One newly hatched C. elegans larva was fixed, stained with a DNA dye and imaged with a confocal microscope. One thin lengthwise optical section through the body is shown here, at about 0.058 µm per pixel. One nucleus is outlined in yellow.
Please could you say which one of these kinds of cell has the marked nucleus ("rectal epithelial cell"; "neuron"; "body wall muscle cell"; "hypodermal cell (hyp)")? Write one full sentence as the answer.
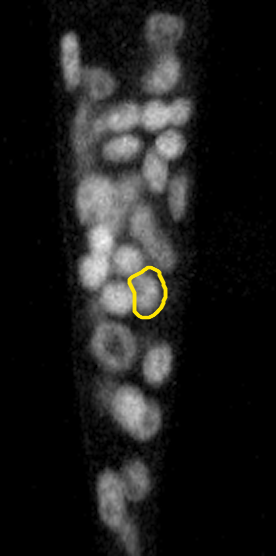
The cell with the marked nucleus is a body wall muscle cell.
